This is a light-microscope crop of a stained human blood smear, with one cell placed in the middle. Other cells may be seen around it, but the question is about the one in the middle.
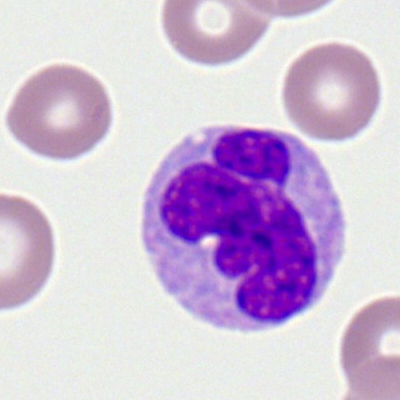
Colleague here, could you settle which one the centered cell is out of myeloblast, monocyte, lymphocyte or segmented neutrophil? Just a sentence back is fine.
The middle cell in this particular crop is a monocyte.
